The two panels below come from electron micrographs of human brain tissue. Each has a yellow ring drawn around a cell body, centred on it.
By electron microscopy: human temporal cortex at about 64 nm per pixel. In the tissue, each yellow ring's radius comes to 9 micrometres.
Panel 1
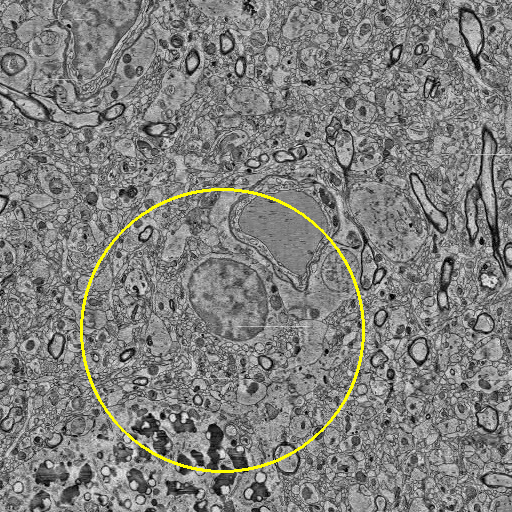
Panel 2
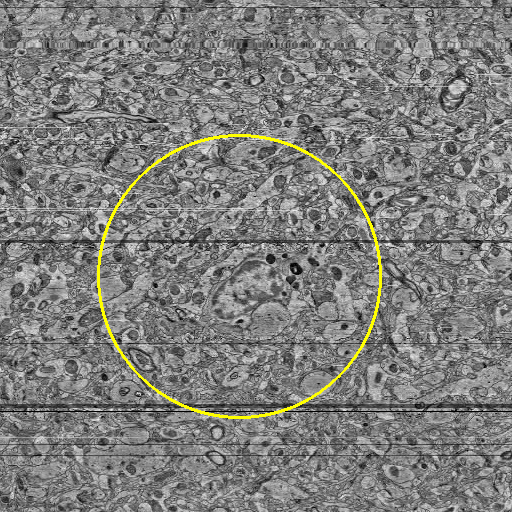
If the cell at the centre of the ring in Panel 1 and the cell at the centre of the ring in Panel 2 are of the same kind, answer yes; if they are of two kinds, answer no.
no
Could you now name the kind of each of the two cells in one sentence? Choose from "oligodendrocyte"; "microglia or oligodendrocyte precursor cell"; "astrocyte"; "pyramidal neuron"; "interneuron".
The first ring encloses an oligodendrocyte; the second ring encloses a microglial cell or oligodendrocyte precursor cell.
